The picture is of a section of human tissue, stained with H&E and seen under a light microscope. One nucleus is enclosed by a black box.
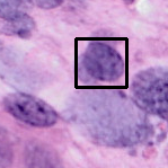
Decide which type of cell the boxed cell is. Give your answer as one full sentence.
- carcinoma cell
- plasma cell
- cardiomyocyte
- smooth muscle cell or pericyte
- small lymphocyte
In this tissue section, the boxed cell is to be classed as a carcinoma cell.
